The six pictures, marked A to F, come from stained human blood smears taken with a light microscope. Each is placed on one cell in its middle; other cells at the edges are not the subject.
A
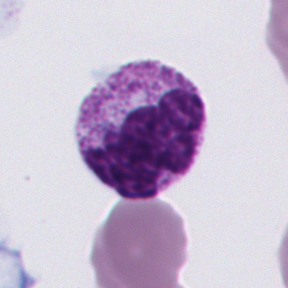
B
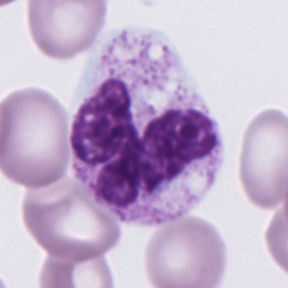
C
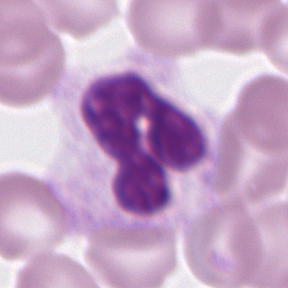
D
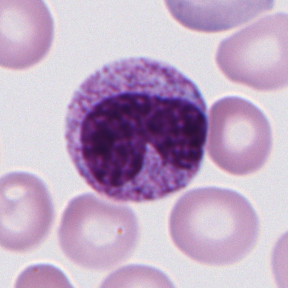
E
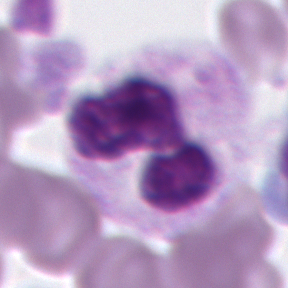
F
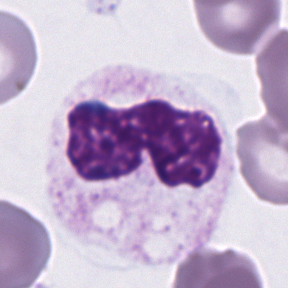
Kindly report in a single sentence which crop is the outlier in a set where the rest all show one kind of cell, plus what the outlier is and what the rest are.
Crop D is the one that is a band neutrophil, and the other crops all show segmented neutrophils.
